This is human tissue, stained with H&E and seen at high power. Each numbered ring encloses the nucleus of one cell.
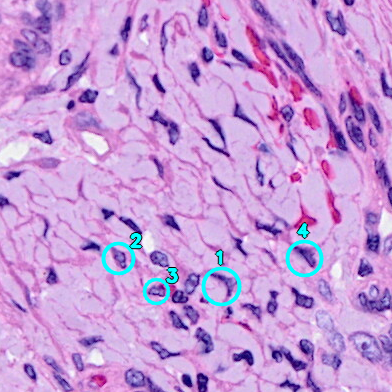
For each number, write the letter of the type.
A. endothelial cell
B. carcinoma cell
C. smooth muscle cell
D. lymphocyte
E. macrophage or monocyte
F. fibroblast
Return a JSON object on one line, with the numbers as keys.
{"1": "F", "2": "F", "3": "A", "4": "F"}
